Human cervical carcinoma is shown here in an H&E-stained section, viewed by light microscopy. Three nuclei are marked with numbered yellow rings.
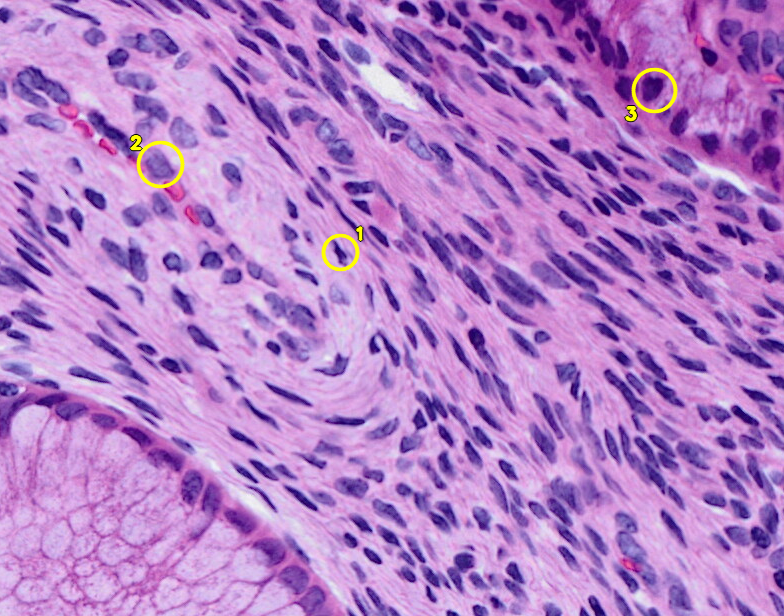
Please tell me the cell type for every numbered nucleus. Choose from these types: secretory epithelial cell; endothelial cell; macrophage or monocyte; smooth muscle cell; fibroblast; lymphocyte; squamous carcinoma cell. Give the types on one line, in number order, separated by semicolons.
fibroblast; endothelial cell; secretory epithelial cell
